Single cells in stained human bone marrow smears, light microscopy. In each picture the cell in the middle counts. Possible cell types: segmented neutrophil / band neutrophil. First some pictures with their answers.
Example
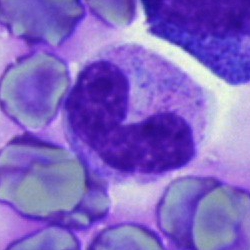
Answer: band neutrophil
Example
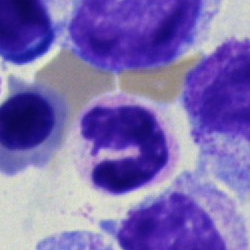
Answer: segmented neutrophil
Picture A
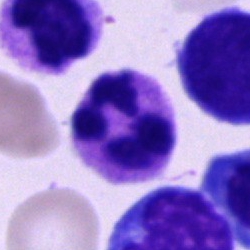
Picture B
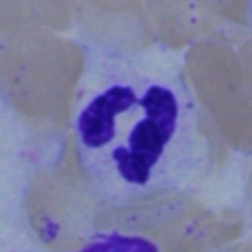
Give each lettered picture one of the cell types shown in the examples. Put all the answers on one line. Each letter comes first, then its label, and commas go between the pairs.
A segmented neutrophil, B segmented neutrophil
